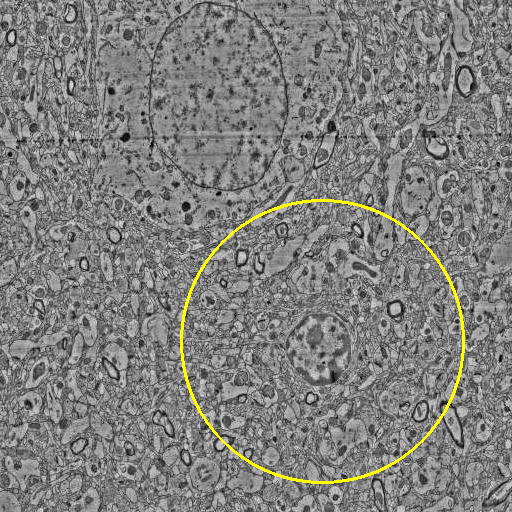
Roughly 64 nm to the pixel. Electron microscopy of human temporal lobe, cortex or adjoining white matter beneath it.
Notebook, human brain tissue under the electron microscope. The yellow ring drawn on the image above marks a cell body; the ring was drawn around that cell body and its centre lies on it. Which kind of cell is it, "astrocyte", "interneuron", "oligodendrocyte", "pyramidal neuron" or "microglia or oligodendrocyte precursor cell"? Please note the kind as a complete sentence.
The marked cell body is that of a microglial cell or oligodendrocyte precursor cell.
